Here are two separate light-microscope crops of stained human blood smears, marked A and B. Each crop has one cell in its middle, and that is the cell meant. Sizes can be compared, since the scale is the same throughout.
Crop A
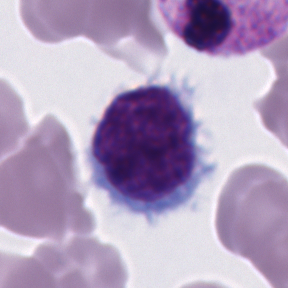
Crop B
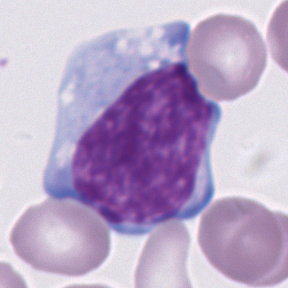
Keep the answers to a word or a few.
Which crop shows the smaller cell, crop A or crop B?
A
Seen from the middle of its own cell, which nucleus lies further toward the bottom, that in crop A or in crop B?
B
